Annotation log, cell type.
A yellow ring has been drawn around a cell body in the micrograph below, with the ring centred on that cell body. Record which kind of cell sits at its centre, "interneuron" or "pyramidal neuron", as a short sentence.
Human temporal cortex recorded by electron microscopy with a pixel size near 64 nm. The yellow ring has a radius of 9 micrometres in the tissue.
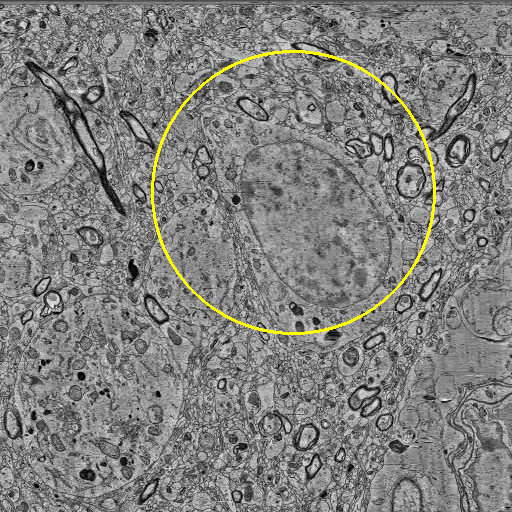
The cell at the centre of this ring is an interneuron.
